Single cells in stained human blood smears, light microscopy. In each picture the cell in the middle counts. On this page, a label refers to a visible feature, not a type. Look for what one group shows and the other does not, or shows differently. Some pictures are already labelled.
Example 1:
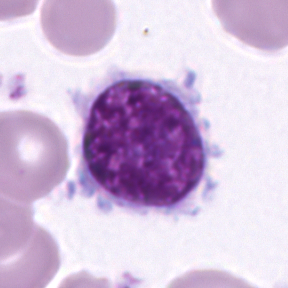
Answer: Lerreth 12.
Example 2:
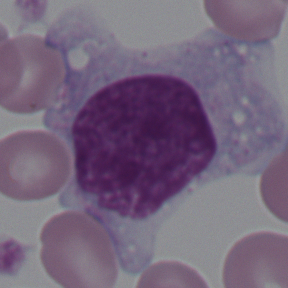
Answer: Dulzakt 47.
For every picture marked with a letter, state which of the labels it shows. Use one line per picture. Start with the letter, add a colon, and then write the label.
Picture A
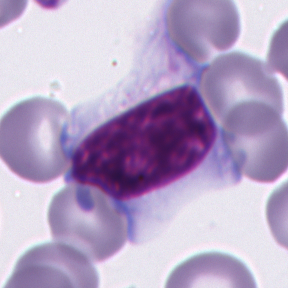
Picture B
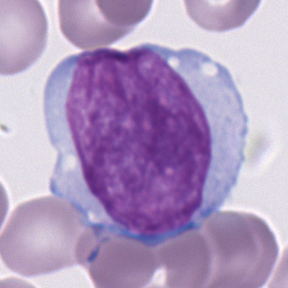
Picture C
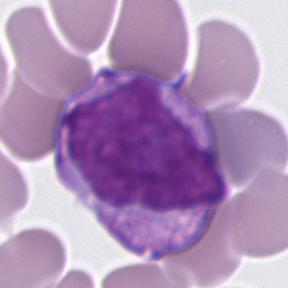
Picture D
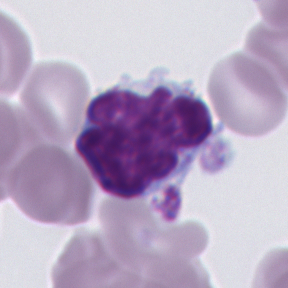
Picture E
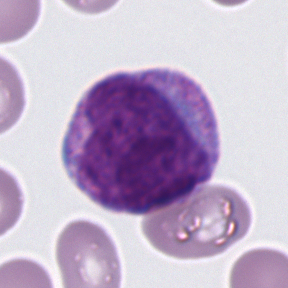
A: Dulzakt 47.
B: Dulzakt 47.
C: Lerreth 12.
D: Lerreth 12.
E: Lerreth 12.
